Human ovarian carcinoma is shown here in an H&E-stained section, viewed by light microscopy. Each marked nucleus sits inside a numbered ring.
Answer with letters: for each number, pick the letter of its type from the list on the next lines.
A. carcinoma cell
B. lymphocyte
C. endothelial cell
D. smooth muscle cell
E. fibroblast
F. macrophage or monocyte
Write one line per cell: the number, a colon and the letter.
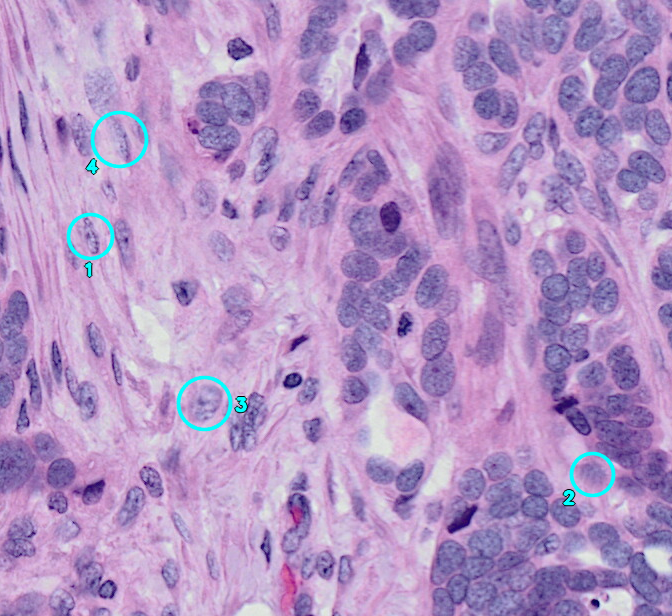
1: E
2: A
3: E
4: E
